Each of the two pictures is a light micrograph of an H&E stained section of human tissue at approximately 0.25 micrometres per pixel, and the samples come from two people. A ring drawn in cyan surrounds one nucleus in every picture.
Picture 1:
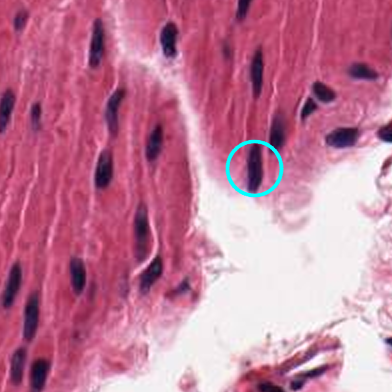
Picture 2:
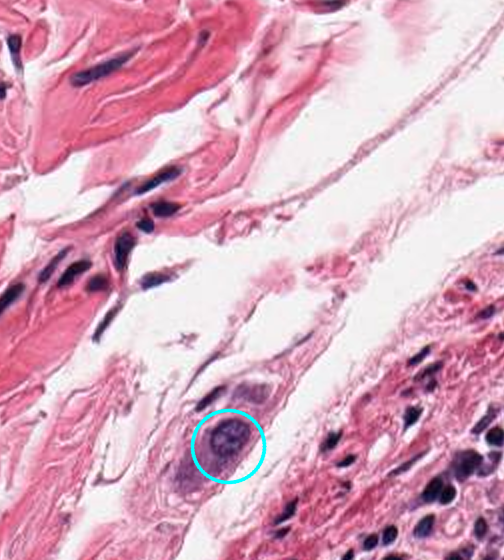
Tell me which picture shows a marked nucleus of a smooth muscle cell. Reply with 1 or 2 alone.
1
